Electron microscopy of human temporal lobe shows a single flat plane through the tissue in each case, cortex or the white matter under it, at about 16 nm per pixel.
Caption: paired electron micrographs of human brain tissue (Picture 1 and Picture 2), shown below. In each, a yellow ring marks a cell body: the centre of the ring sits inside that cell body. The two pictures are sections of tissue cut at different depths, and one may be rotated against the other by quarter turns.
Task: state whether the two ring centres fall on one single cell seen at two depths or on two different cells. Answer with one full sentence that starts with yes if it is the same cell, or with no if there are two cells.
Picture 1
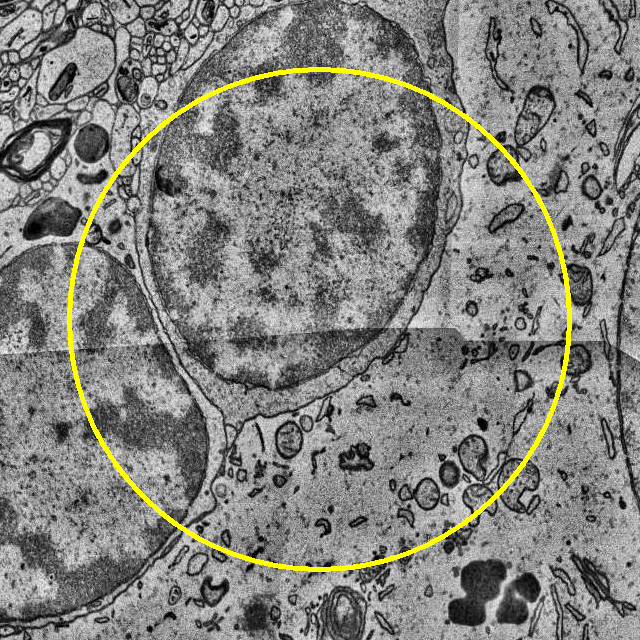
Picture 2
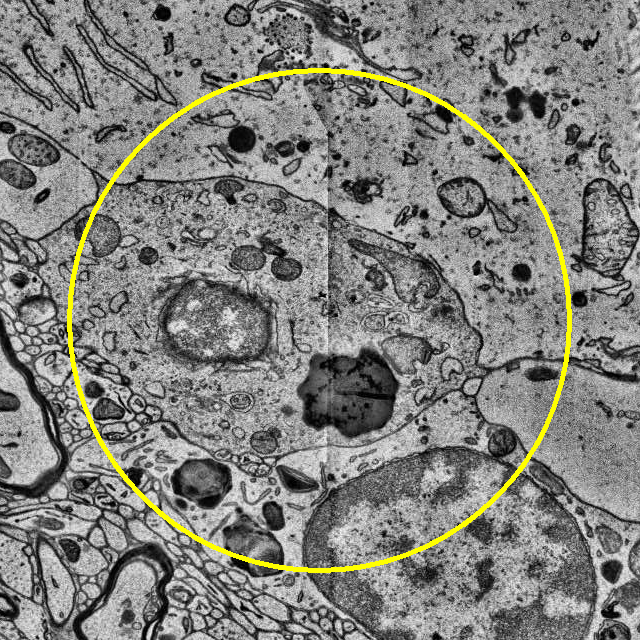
Yes, the second ring marks the same cell as the first.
